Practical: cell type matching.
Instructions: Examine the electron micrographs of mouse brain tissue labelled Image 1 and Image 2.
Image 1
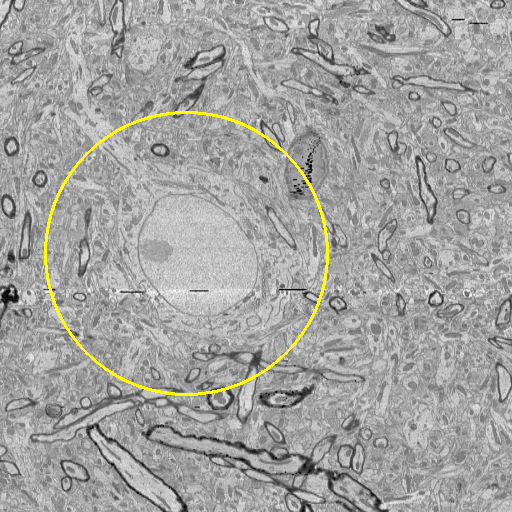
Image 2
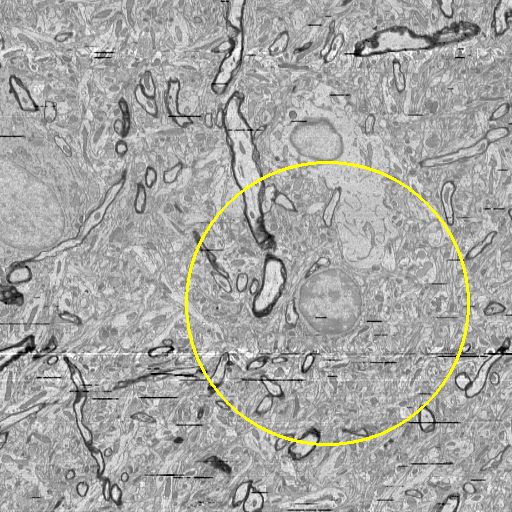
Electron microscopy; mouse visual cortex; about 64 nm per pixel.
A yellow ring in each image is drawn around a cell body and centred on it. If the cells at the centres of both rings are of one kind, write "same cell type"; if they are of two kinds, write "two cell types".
two cell types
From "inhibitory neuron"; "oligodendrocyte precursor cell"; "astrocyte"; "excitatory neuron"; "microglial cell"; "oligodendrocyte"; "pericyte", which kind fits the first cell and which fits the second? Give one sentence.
The cell marked in the first picture is an excitatory neuron, and the one marked in the second is an oligodendrocyte.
